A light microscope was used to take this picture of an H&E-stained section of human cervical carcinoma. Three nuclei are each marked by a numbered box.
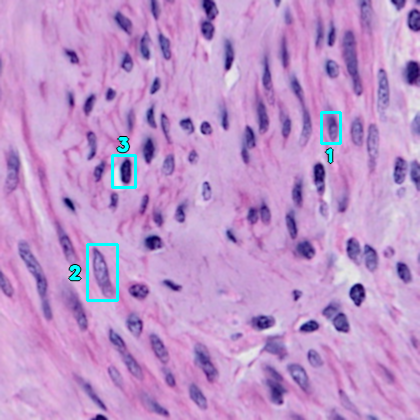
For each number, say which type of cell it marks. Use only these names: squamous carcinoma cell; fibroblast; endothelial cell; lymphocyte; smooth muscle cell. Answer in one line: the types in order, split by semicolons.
smooth muscle cell; smooth muscle cell; lymphocyte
